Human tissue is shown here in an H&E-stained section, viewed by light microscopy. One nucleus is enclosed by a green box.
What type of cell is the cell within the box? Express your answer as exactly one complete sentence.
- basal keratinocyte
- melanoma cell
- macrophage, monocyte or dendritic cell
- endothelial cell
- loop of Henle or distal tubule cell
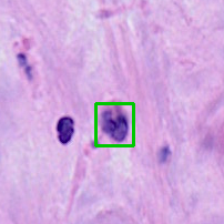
The identity of the cell within the box: it is a macrophage, monocyte or dendritic cell.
